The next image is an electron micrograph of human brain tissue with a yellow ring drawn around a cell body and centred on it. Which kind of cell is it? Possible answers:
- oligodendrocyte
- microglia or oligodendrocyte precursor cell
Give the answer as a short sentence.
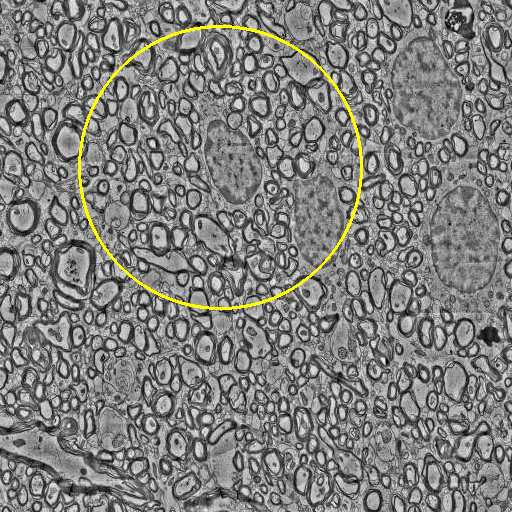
In the ring's centre is a microglial cell or oligodendrocyte precursor cell.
